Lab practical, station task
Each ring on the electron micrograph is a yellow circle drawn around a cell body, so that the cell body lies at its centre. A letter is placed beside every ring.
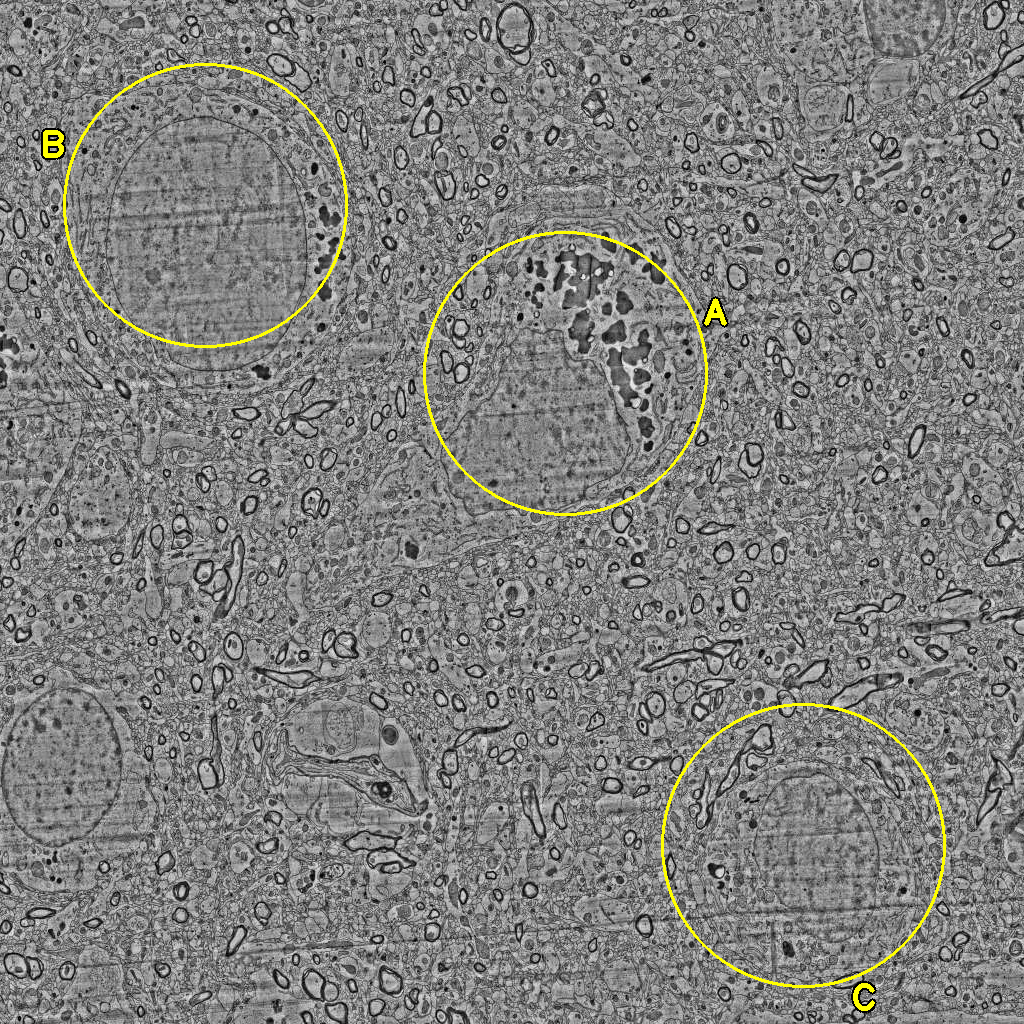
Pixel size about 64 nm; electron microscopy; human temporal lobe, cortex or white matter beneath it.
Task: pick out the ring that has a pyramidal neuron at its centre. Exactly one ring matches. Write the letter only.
B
